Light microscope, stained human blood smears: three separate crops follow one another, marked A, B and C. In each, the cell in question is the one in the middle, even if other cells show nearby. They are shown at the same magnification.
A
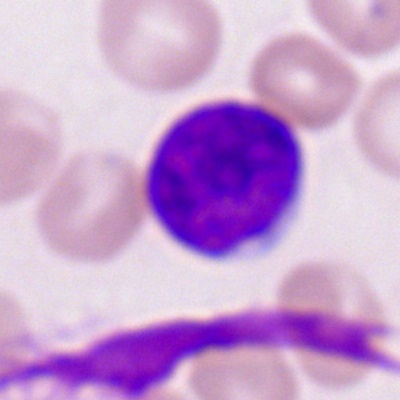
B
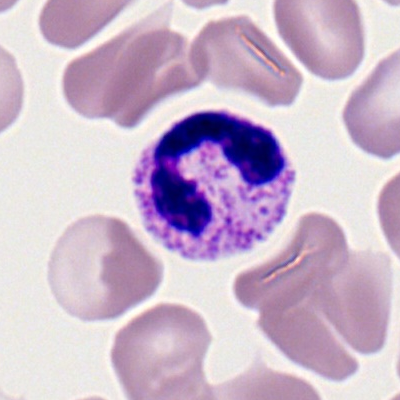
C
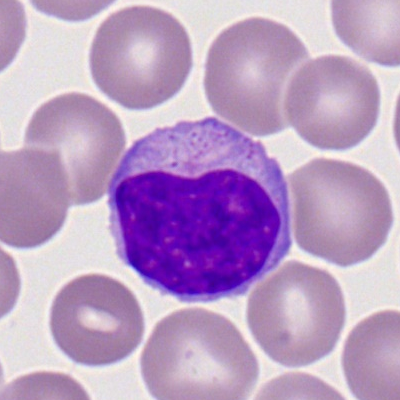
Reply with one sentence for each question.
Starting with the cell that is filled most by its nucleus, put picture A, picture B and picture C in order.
They run A, C, B, the most filled first.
